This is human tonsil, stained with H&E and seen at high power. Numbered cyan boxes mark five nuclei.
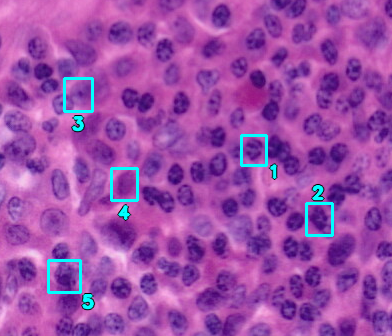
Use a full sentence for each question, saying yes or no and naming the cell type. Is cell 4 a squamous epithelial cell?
Yes, a squamous epithelial cell is what the cell numbered 4 is.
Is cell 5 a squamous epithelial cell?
Yes, exactly, the cell numbered 5 is a squamous epithelial cell.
